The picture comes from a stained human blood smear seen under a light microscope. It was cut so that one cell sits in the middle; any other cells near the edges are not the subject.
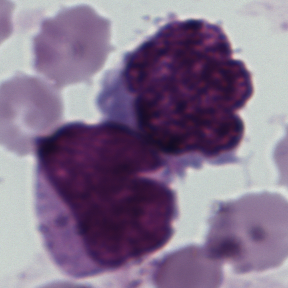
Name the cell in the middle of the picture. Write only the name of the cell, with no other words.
myeloblast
